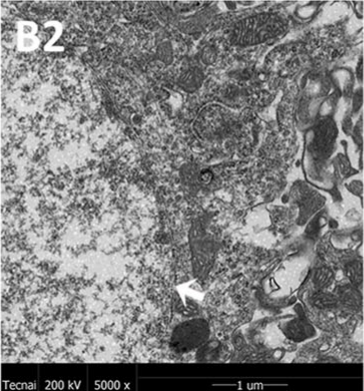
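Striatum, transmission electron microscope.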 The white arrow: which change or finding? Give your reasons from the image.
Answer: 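“Disrupted” membrane. No sharp continuous membrane line can be followed at the arrow.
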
